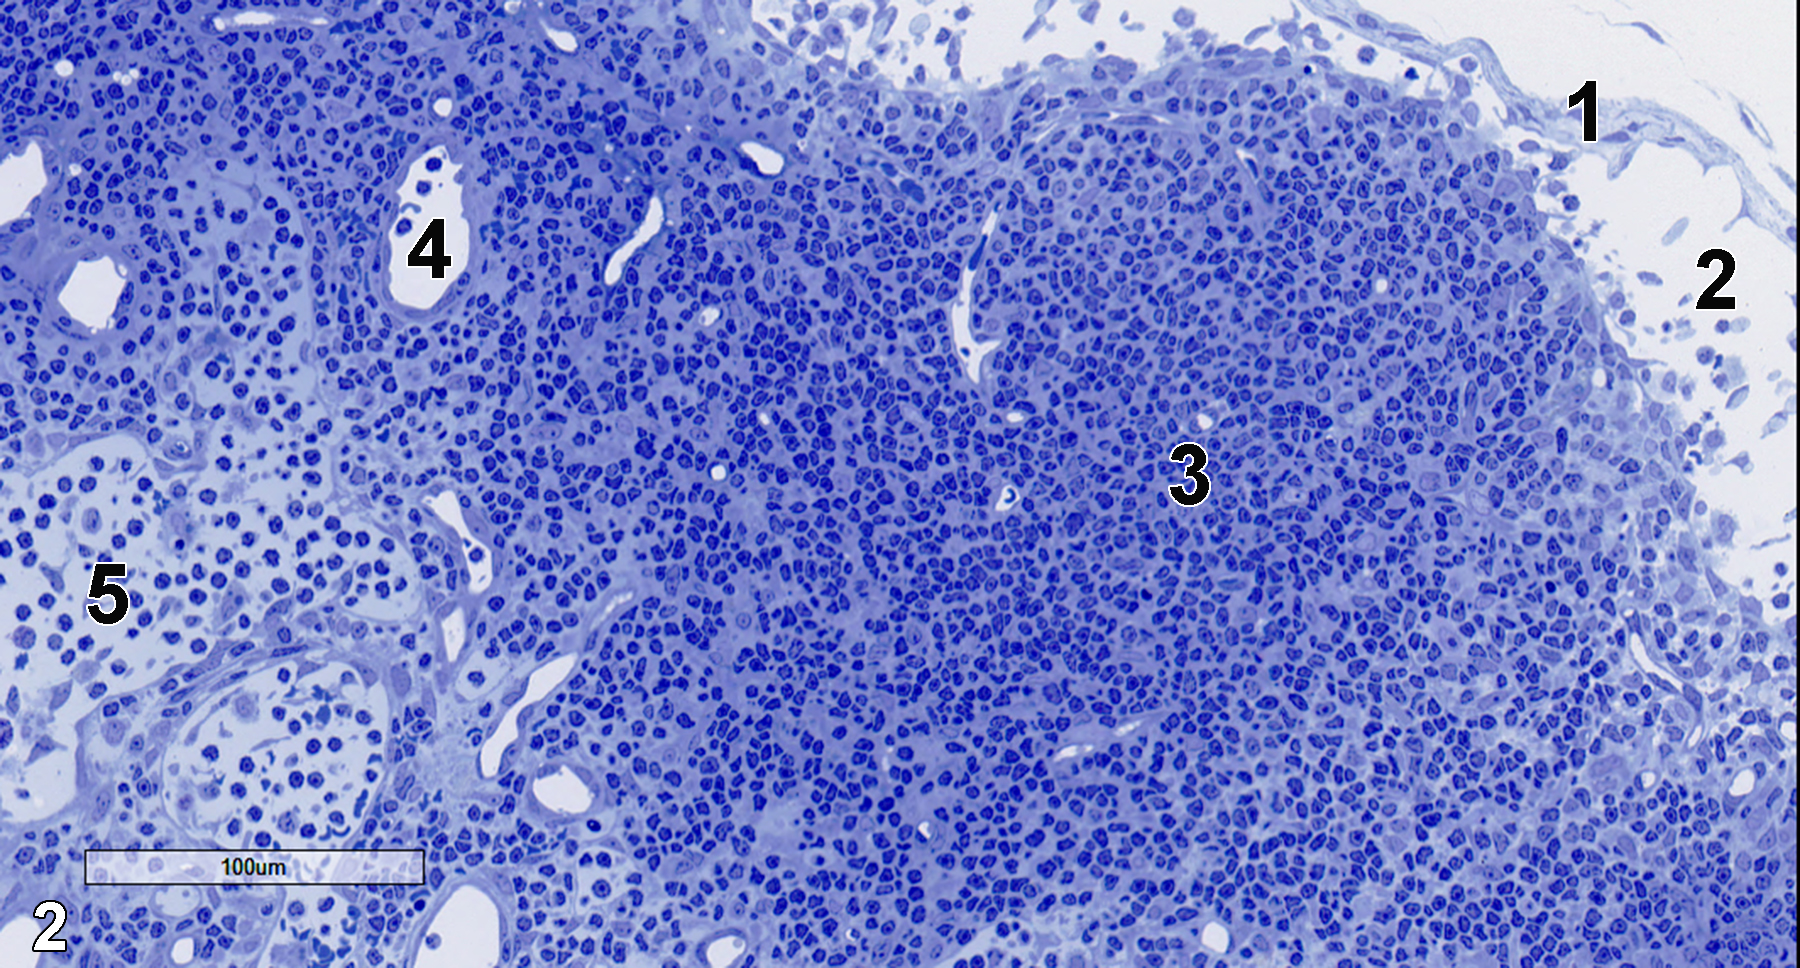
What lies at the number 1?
The number 1 marks the capsule.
